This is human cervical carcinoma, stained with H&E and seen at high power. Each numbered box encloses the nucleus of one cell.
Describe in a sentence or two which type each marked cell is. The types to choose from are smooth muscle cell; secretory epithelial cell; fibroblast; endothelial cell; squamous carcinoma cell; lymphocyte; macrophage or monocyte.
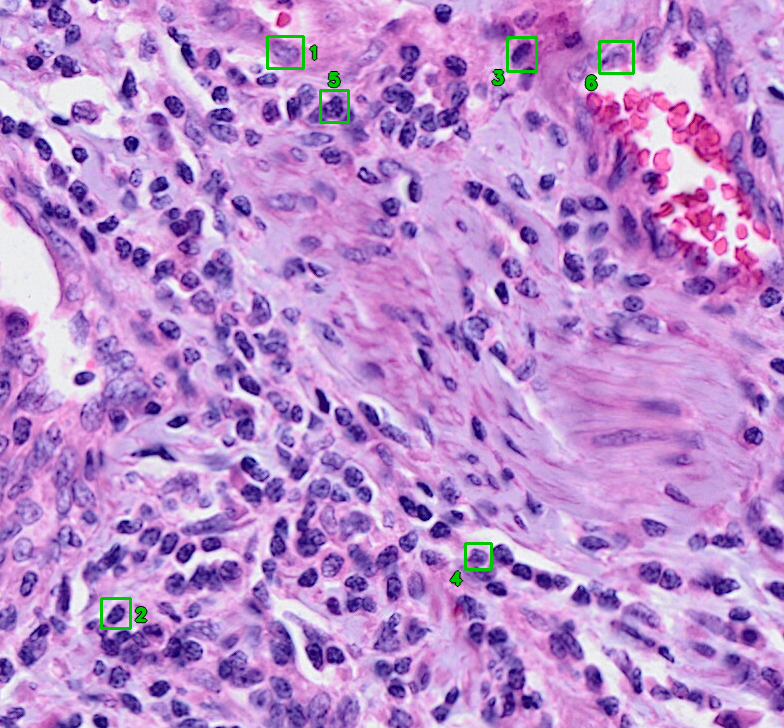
Cells 1 and 6 are endothelial cells. Cells 2, 3, 4 and 5 are lymphocytes.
